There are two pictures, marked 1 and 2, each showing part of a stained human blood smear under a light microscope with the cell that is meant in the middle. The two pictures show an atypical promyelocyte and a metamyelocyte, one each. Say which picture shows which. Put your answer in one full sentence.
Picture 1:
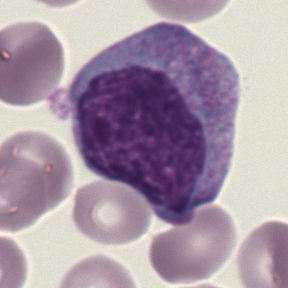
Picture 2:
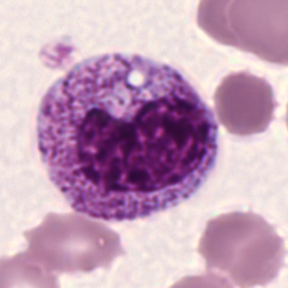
Picture 2 shows a metamyelocyte, while picture 1 shows an atypical promyelocyte.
